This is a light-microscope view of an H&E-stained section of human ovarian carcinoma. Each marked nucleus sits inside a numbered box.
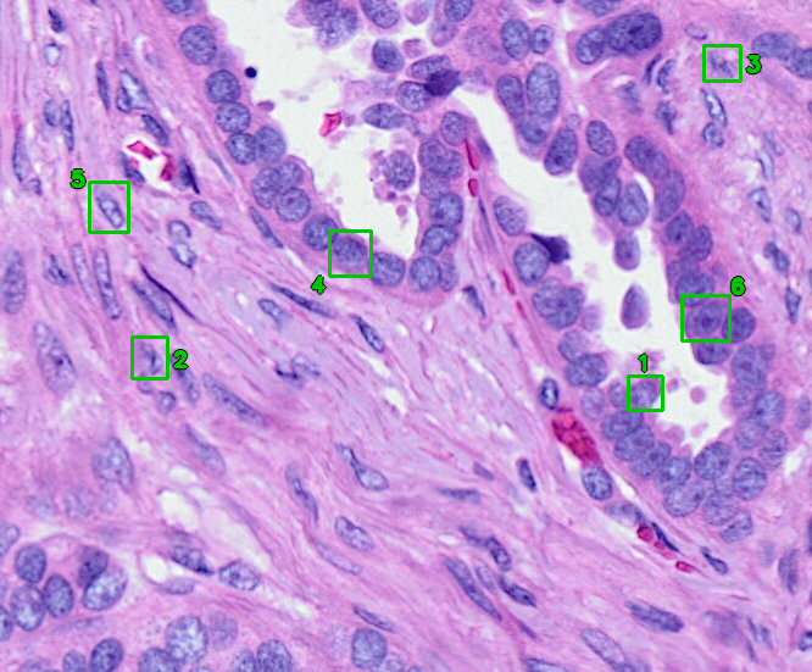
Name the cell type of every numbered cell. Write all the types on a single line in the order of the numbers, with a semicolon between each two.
carcinoma cell; fibroblast; fibroblast; carcinoma cell; fibroblast; carcinoma cell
